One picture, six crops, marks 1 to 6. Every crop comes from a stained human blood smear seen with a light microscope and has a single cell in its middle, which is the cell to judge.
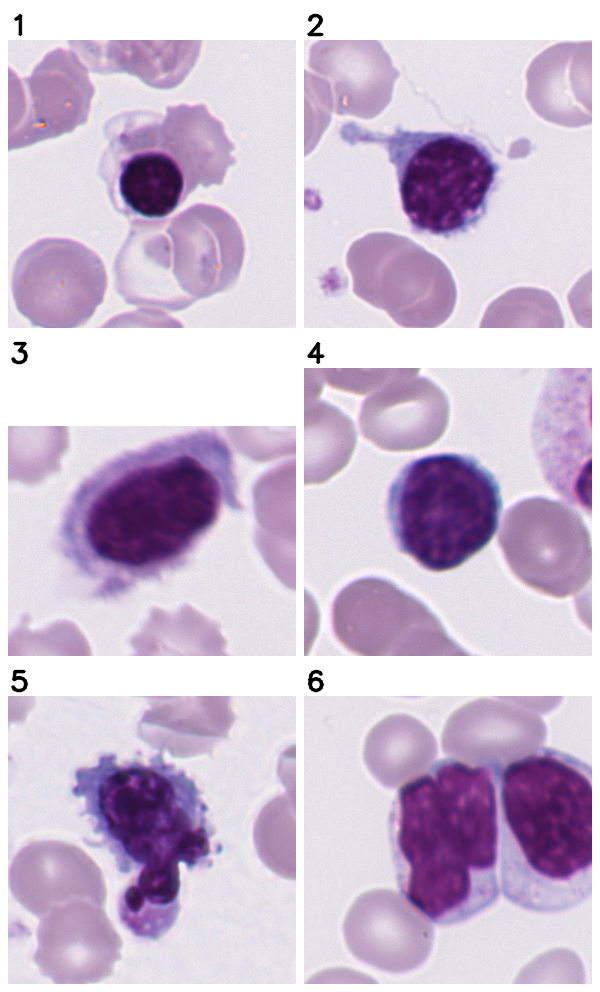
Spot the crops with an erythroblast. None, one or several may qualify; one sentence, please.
The cells at the centre of crops 1 and 2 represent erythroblasts.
